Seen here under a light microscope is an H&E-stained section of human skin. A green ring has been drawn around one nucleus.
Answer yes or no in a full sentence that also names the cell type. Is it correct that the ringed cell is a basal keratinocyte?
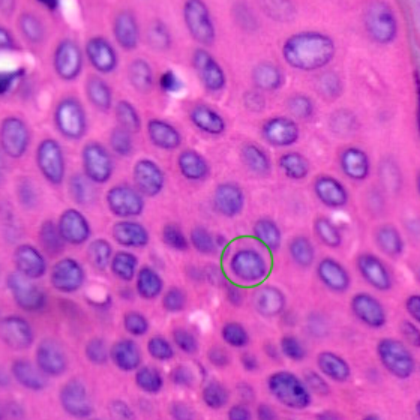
No, the ringed cell is a suprabasal keratinocyte in this section, not a basal keratinocyte.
